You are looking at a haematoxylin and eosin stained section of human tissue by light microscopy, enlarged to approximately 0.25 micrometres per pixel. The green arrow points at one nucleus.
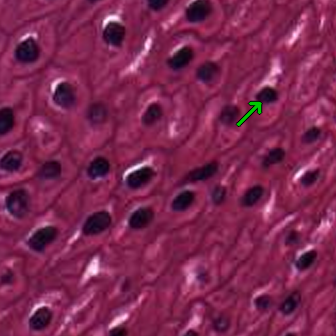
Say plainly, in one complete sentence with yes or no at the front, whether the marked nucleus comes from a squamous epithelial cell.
Yes, what is marked here is the nucleus of a squamous epithelial cell.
